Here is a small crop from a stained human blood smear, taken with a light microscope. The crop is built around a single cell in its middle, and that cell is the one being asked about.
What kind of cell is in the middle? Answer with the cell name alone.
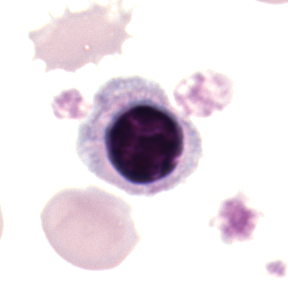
erythroblast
